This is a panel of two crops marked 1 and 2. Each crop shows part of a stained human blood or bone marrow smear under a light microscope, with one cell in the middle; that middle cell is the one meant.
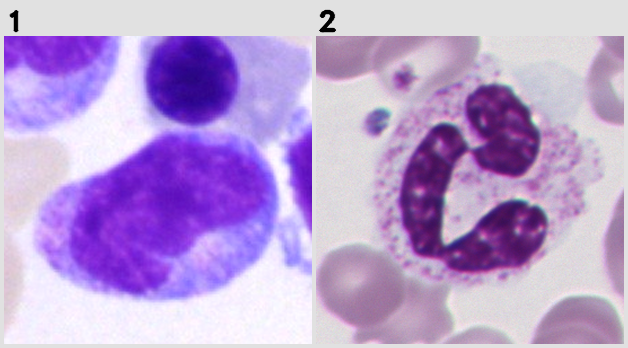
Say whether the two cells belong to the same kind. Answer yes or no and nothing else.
no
